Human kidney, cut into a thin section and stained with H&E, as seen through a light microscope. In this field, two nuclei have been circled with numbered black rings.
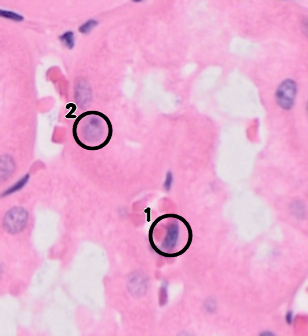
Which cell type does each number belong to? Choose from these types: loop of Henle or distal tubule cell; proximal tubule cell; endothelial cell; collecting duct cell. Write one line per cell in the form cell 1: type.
cell 1: endothelial cell
cell 2: proximal tubule cell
